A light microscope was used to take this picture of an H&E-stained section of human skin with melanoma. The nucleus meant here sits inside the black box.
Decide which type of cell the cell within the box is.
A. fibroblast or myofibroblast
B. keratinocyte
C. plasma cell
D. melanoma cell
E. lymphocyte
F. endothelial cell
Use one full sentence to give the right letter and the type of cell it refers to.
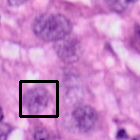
The right pick is option D; the cell within the box is a melanoma cell.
